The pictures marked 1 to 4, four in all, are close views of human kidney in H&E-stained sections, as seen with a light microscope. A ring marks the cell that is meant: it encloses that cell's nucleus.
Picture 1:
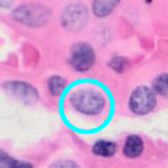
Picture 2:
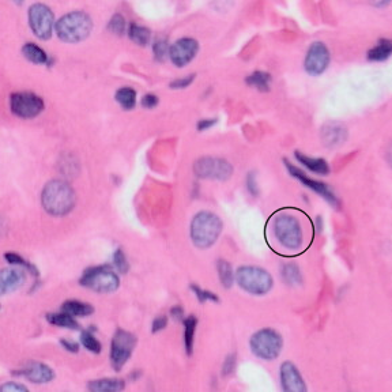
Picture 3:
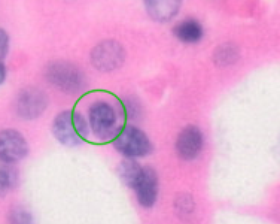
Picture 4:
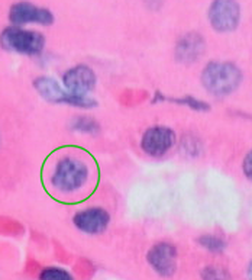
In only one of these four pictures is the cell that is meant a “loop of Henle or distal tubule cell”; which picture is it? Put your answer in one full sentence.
Picture 4 shows the “loop of Henle or distal tubule cell”.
